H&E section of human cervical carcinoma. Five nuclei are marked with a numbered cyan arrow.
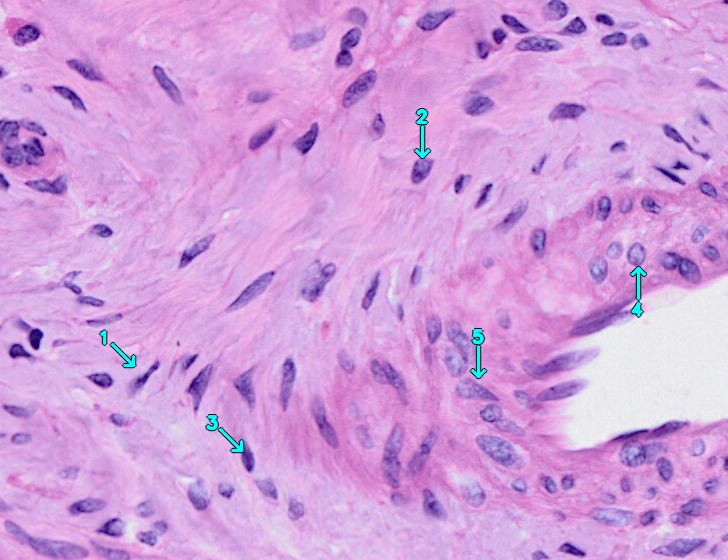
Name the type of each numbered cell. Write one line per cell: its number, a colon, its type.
1: fibroblast
2: fibroblast
3: fibroblast
4: smooth muscle cell
5: smooth muscle cell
